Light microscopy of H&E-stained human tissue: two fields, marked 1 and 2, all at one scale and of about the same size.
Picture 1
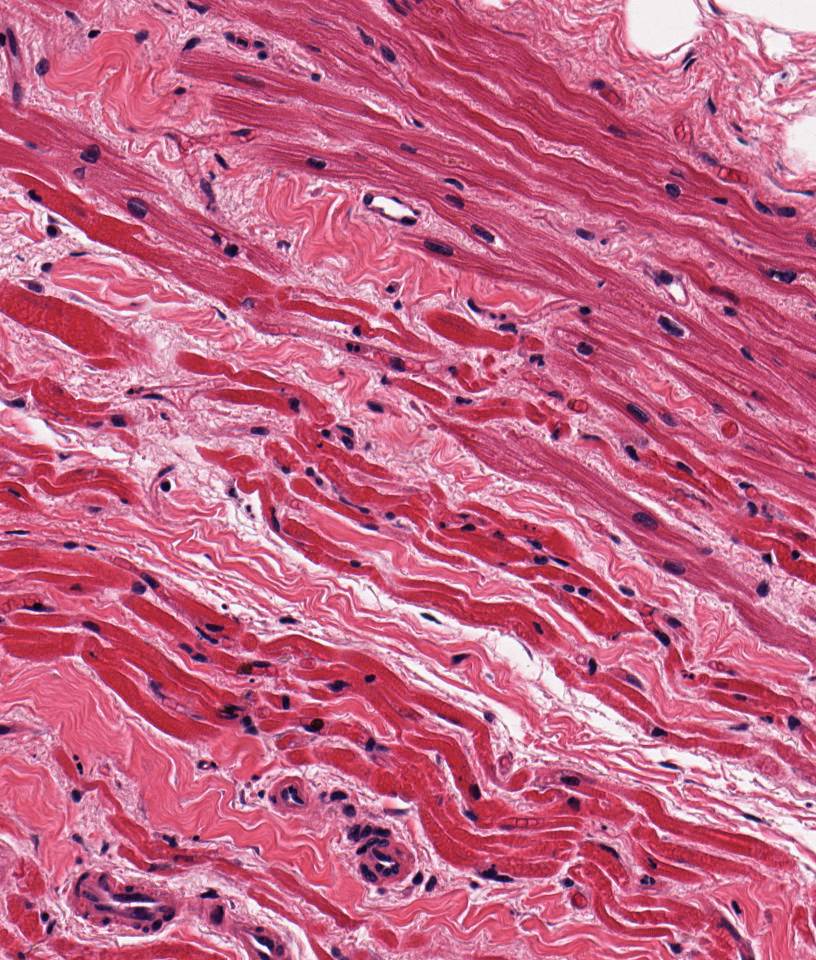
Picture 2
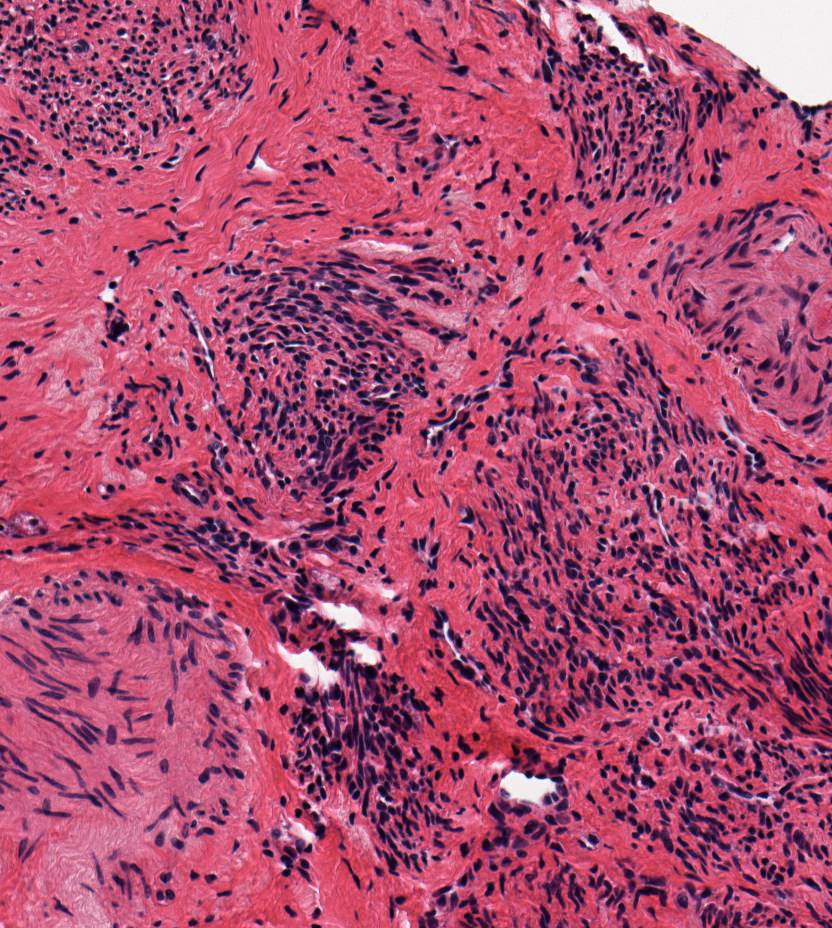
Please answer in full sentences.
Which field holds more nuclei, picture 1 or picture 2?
It is picture 2 that has more nuclei in it.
